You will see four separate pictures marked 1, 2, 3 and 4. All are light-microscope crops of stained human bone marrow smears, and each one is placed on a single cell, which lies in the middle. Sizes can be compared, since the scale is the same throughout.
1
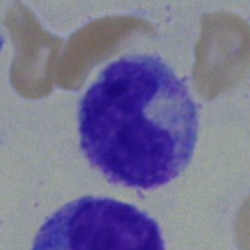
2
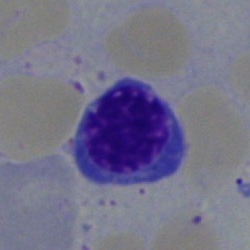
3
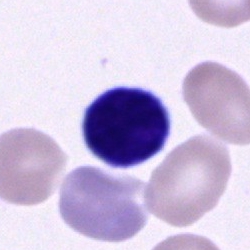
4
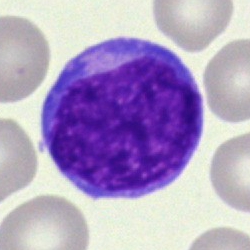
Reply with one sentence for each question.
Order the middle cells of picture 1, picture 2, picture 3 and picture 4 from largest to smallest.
The order is 4, 1, 2, 3, beginning with the largest.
